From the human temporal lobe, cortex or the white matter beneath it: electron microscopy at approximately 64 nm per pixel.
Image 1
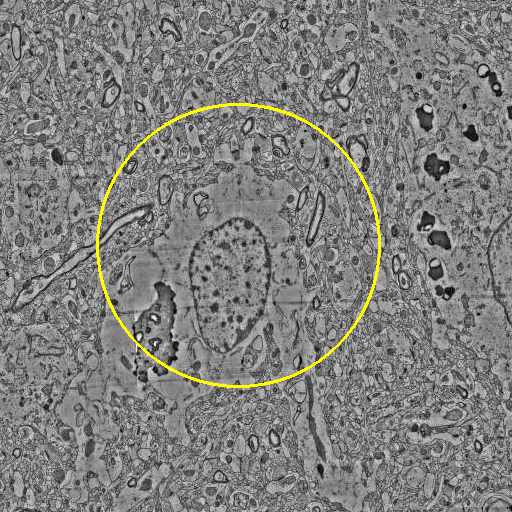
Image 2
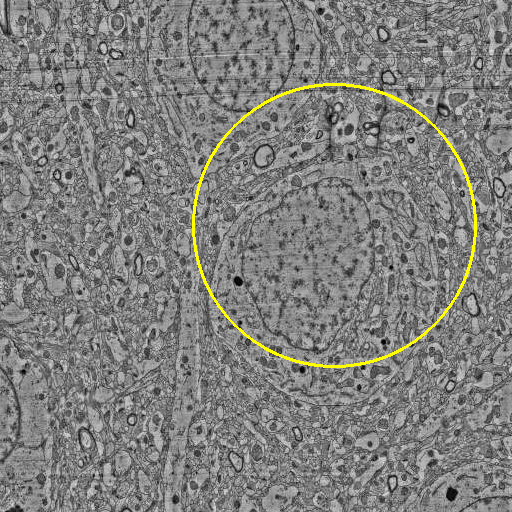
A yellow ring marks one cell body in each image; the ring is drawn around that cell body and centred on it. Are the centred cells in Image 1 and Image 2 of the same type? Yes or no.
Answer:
no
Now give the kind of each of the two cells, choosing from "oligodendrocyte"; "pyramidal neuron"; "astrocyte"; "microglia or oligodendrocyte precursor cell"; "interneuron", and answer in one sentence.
The cell in the first picture is an astrocyte, and the cell in the second is an interneuron.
